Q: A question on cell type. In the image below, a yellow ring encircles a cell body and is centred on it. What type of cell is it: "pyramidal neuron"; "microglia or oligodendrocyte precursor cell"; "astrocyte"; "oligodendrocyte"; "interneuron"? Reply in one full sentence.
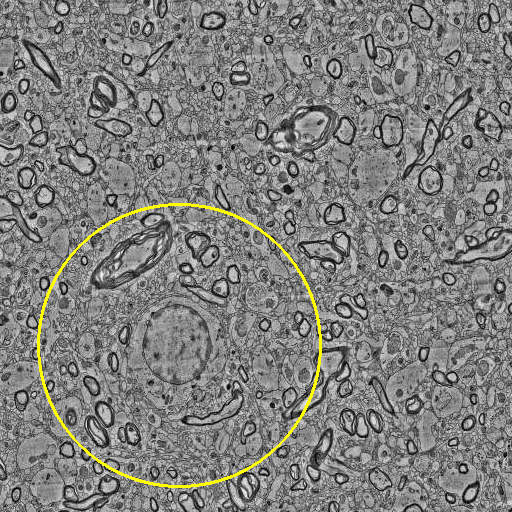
It is a microglial cell or oligodendrocyte precursor cell whose cell body sits at the centre of the yellow ring in the image.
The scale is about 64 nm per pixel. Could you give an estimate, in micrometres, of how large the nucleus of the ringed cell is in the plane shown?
In this plane, roughly 5 by 4 micrometres.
